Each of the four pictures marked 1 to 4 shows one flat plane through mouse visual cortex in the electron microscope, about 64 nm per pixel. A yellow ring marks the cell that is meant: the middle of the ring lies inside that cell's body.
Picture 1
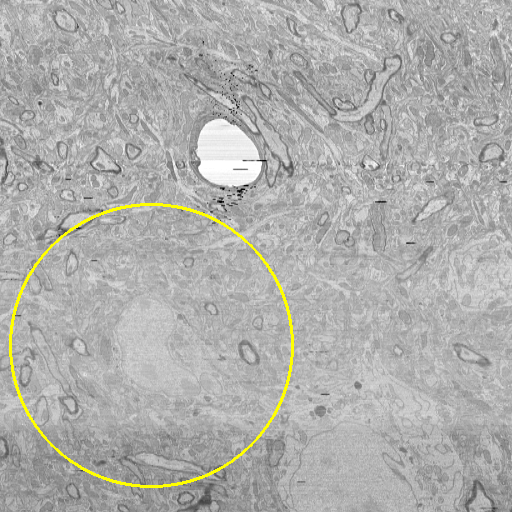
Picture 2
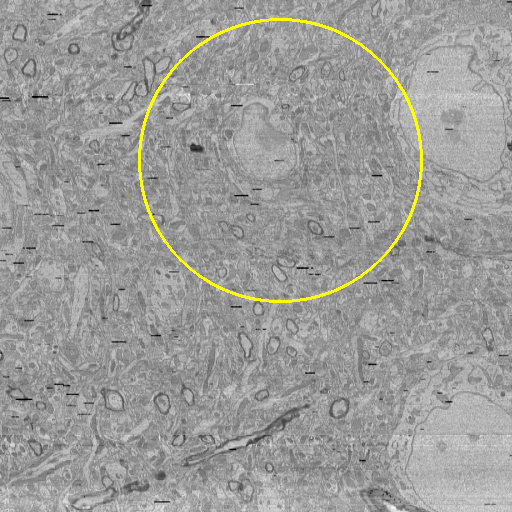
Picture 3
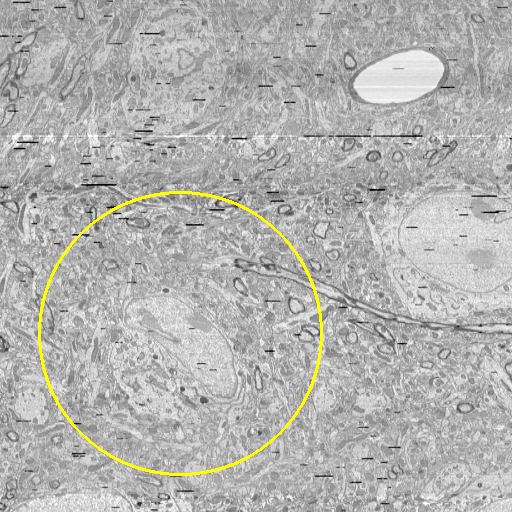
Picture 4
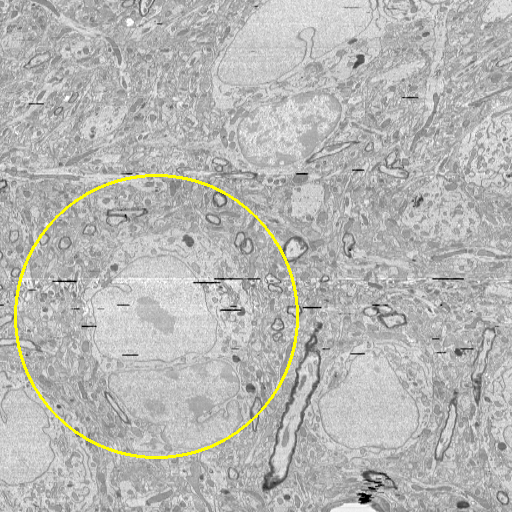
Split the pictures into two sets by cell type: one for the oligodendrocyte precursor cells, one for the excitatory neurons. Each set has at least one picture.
Pictures 1, 2 and 3 show oligodendrocyte precursor cells, while picture 4 shows an excitatory neuron.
